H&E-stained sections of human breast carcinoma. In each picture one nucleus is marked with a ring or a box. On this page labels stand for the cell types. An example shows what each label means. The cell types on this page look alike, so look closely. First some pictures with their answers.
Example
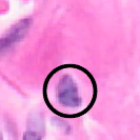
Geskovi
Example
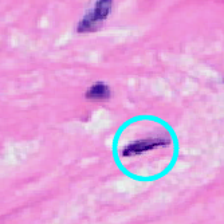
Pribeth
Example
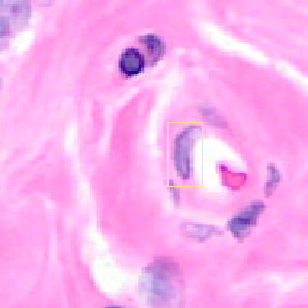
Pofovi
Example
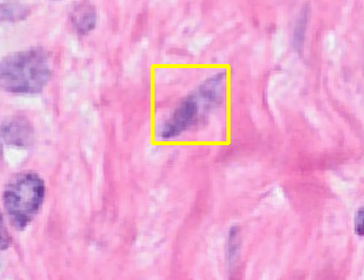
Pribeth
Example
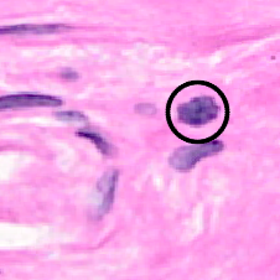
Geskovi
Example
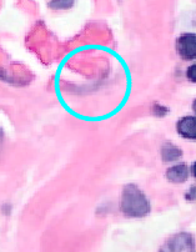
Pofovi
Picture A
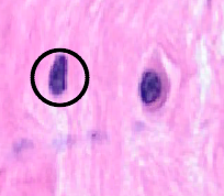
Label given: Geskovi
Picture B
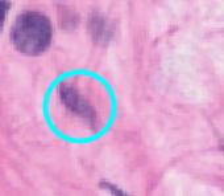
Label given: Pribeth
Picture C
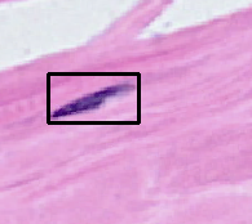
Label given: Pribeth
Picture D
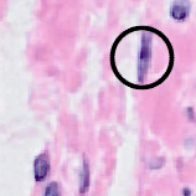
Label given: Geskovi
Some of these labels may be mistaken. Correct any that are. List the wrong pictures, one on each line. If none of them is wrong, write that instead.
D should be Pribeth, not Geskovi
